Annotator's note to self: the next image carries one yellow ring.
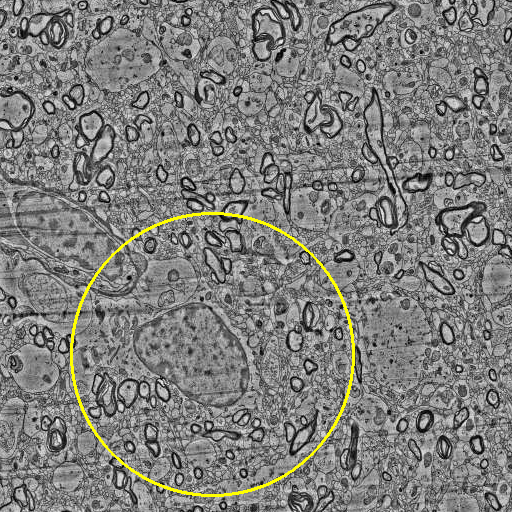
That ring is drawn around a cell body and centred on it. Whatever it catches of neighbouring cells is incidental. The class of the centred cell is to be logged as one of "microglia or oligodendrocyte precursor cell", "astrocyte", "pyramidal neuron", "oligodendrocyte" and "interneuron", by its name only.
microglia or oligodendrocyte precursor cell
